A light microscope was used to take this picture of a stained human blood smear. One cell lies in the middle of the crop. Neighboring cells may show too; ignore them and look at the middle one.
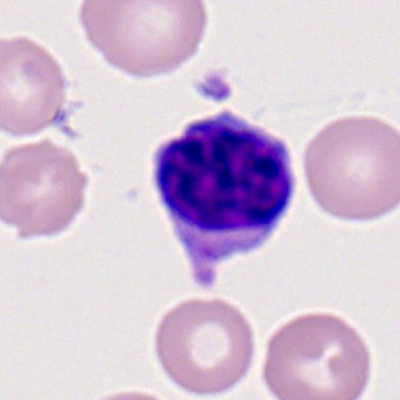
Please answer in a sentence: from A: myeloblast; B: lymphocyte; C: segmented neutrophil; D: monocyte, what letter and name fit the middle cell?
The cell centered in the crop is a lymphocyte, making option B the correct pick.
